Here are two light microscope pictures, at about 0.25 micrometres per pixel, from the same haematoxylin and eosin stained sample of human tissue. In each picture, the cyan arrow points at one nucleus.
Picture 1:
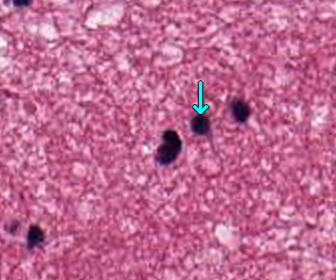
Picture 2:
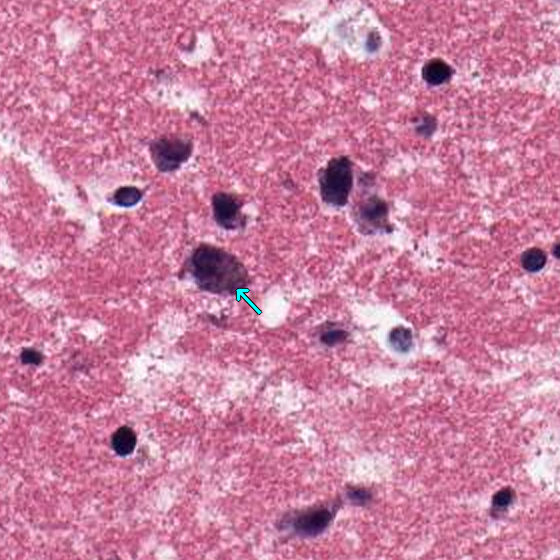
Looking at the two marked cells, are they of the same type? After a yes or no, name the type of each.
No, the first is an oligodendrocyte and the second a neuron.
